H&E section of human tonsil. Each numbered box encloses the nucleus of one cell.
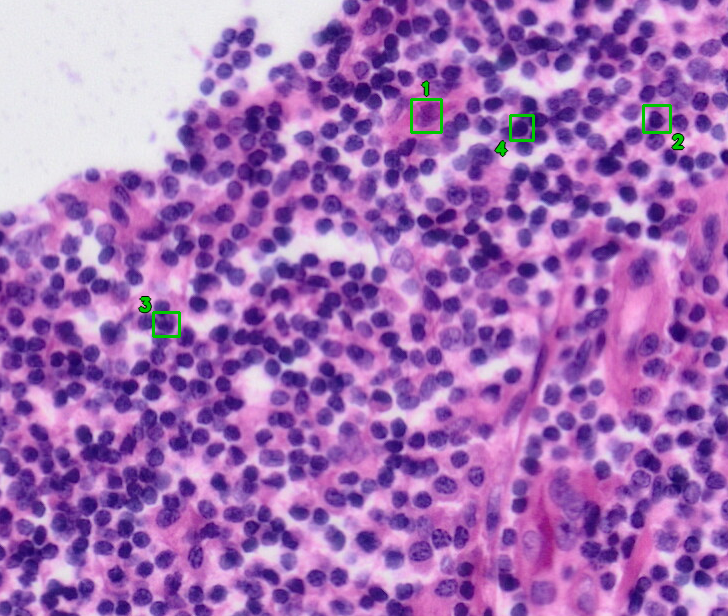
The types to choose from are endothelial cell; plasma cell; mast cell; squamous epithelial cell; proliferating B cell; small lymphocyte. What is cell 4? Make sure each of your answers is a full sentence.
The correct label for cell 4 is a small lymphocyte.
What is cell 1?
The cell whose nucleus carries the number 1 is an endothelial cell.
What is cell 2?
The cell given label 2 is a small lymphocyte.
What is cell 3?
The identity of cell 3 is that of a small lymphocyte.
